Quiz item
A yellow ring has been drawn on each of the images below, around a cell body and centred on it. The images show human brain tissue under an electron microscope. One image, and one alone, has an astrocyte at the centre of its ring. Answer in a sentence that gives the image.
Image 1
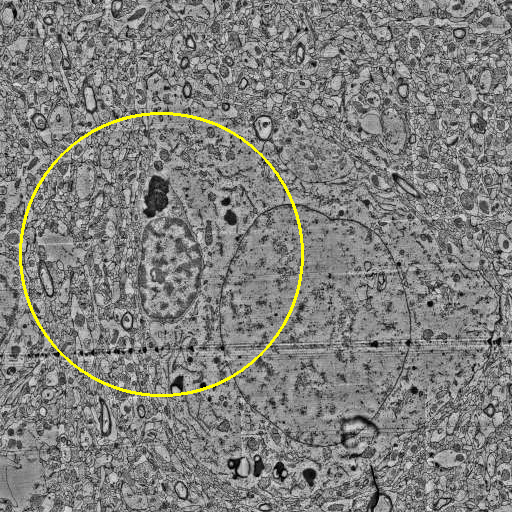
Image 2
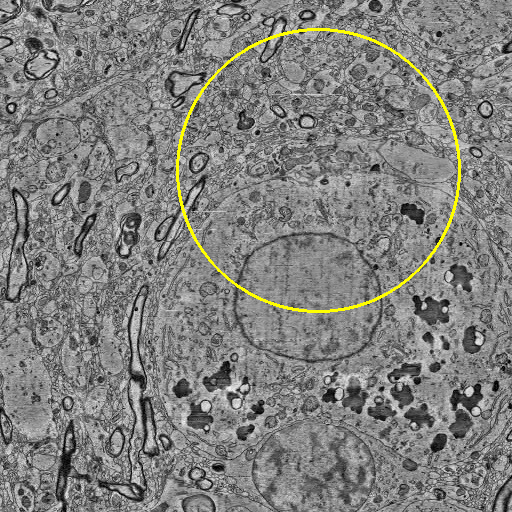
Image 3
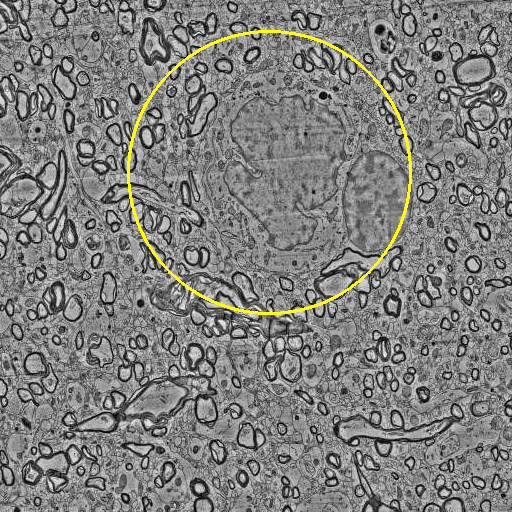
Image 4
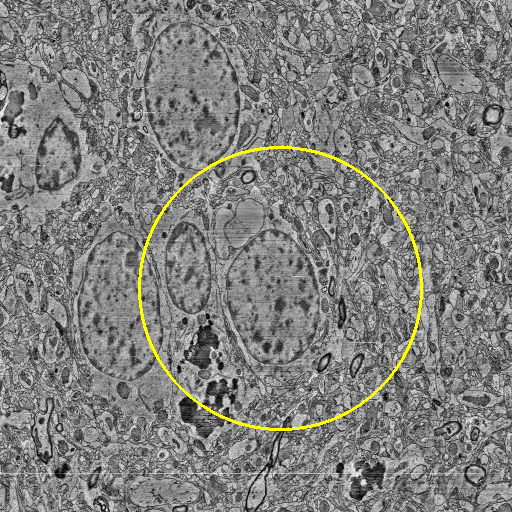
Image 4 shows it at the centre of the ring.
